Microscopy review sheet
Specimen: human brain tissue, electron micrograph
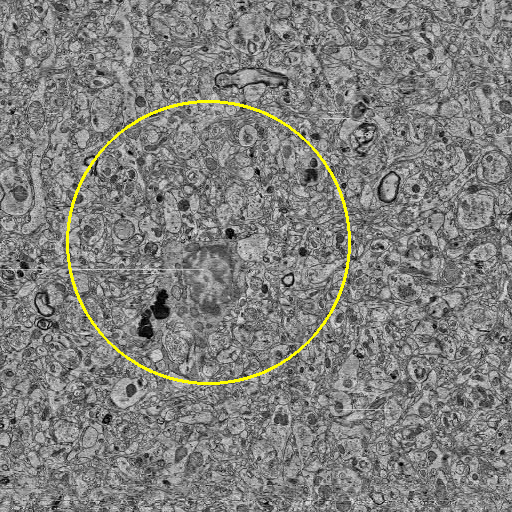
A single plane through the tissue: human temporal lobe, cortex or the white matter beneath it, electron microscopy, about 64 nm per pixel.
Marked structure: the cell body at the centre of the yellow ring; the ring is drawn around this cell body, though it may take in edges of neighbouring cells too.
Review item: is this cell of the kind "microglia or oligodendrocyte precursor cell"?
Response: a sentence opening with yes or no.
No, this cell is of another kind.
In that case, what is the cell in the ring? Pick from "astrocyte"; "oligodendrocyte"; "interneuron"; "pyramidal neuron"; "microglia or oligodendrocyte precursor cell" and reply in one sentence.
The ring holds an oligodendrocyte at its centre.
